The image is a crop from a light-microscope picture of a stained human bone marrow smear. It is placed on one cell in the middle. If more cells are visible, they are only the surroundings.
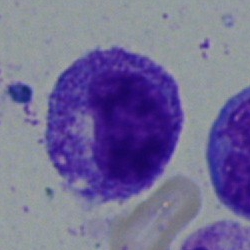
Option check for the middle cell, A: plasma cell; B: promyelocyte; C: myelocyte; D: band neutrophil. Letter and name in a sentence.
Seen at the centre of the crop is a myelocyte, so option C is correct.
